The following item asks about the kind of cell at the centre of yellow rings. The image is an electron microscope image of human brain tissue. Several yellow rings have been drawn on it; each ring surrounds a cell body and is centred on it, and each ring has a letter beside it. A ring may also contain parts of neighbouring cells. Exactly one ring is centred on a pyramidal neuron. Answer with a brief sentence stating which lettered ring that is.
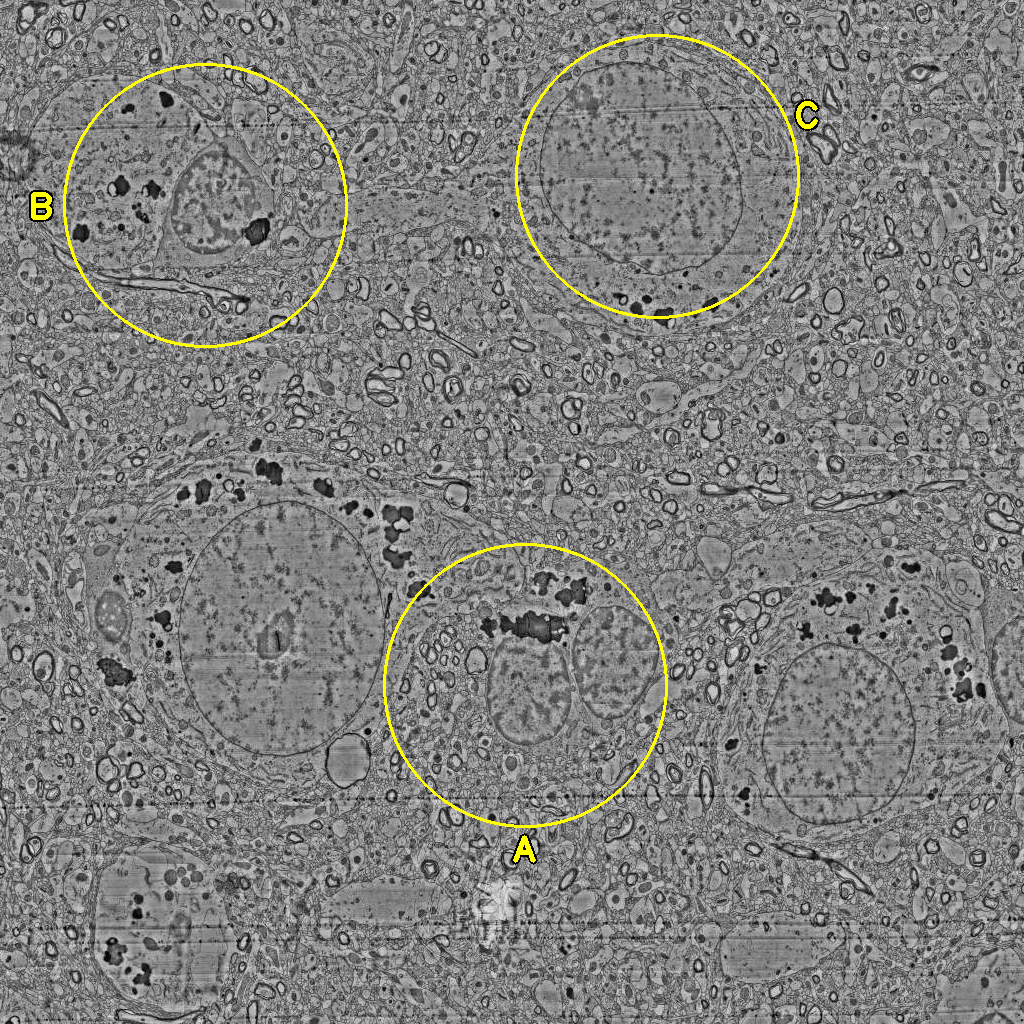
That is ring C.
